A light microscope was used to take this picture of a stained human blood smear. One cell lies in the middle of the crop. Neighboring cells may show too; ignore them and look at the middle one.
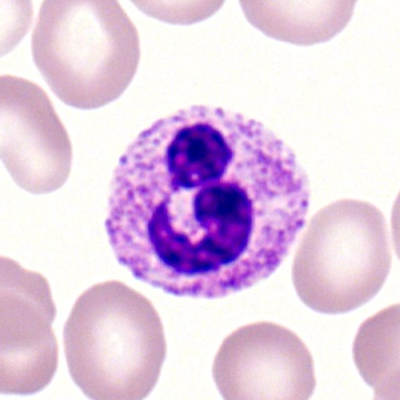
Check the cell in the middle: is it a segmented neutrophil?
yes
